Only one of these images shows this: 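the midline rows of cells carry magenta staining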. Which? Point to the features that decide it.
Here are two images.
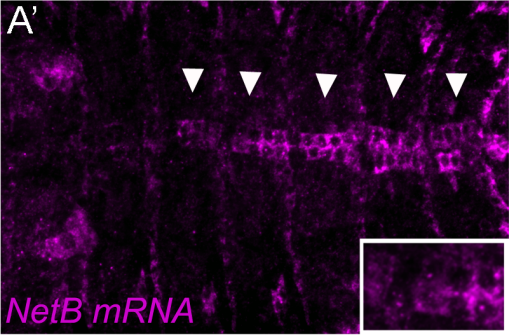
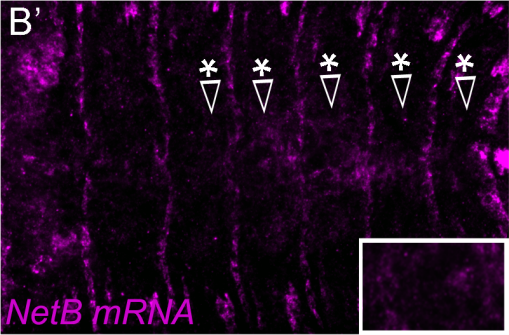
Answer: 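Second image: along the midline where the arrowhead-asterisks point, there is almost no magenta, only faint background. First image: a distinct magenta band of cell outlines runs along the midline beneath the white arrowheads. So: the first image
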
